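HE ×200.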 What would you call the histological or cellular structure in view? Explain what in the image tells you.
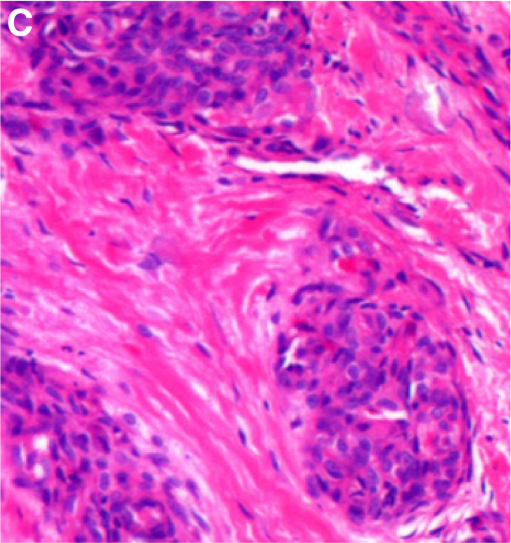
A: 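Rounded clusters of densely packed cells with oval to elongated nuclei. The cell clusters are separated by broad bands of pink fibrous stroma. Some cells are lined up in narrow strands between the stroma bands. So: short spindle-shaped cells in cords and nodules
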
